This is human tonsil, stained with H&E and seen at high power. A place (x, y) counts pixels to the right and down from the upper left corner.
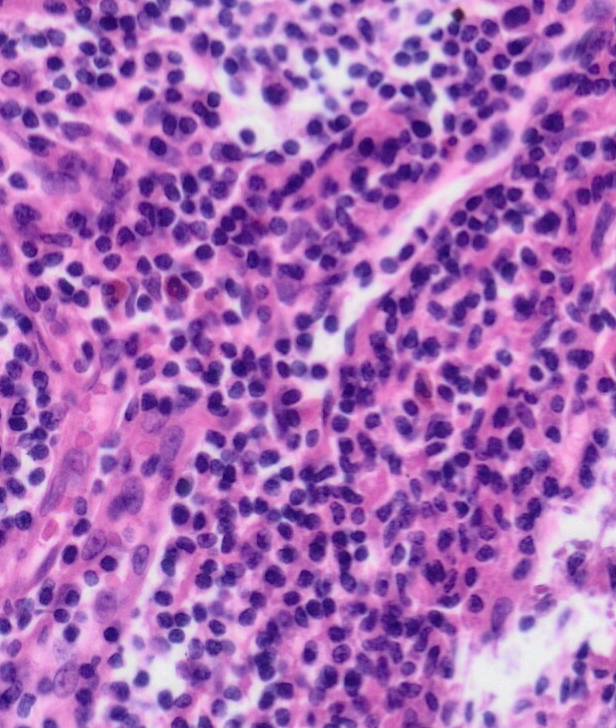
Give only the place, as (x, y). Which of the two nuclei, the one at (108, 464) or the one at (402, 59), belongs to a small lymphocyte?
(402, 59)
